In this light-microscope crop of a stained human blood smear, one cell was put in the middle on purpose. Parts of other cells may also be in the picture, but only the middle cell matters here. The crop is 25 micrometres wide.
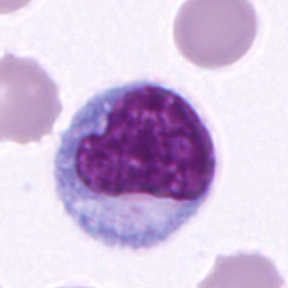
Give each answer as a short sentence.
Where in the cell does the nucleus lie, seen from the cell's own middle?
Toward the upper right of the cell lies its nucleus.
